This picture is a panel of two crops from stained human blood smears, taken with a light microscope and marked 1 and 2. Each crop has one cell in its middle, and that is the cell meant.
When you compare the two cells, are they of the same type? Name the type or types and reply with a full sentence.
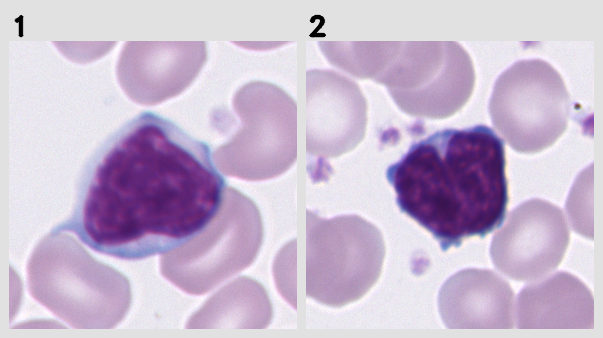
Yes, both crops depict typical lymphocytes at the centre.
